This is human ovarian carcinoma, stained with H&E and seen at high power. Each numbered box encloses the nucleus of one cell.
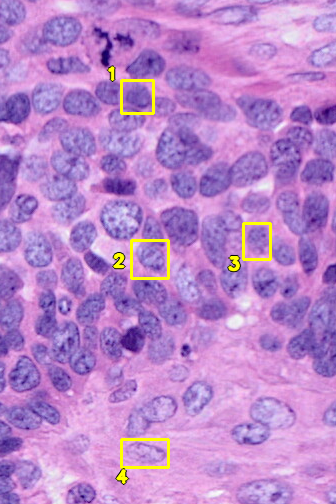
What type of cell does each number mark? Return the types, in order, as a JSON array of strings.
["carcinoma cell", "carcinoma cell", "carcinoma cell", "fibroblast"]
